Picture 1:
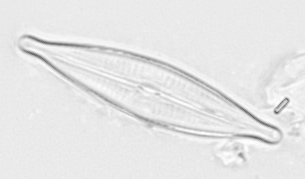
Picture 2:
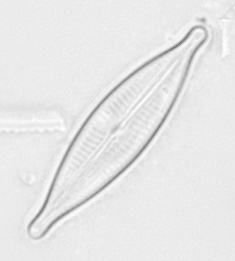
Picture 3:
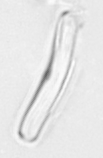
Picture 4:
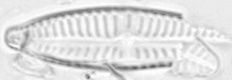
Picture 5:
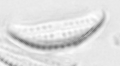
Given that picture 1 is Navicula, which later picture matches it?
2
